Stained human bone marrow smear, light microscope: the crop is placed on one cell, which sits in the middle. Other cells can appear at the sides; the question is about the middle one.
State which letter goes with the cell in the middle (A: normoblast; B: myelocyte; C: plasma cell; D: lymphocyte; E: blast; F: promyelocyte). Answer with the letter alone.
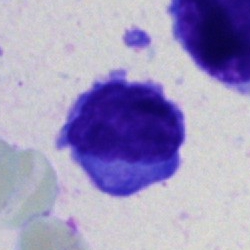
C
